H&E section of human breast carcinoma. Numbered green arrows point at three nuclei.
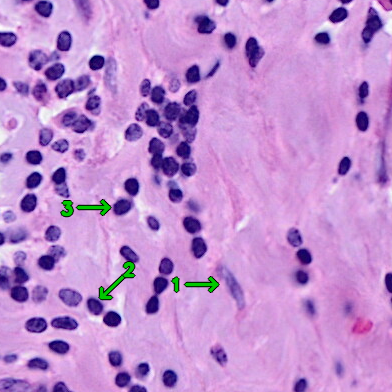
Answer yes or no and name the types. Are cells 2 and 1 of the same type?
No, cell 2 is a lymphocyte and cell 1 is a fibroblast.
